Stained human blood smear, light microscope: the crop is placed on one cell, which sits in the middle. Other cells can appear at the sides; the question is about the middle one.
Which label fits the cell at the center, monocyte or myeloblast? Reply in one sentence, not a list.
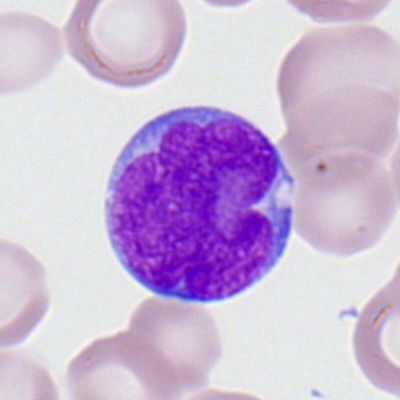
Regarding the central cell, it is a myeloblast.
